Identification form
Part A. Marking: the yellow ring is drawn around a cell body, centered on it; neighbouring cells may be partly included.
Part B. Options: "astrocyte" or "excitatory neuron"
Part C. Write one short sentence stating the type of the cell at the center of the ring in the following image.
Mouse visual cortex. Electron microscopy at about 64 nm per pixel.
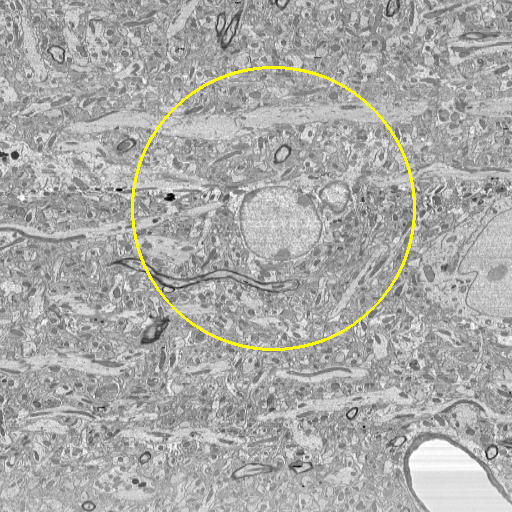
The center of the ring holds an astrocyte.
